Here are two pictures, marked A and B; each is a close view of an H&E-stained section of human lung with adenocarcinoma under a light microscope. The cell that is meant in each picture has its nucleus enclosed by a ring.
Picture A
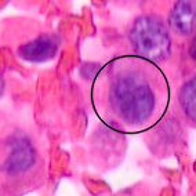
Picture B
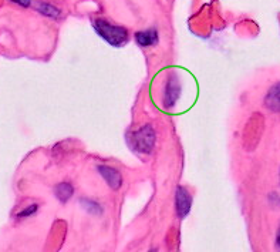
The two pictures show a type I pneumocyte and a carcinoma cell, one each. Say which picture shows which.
A: carcinoma cell
B: type I pneumocyte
